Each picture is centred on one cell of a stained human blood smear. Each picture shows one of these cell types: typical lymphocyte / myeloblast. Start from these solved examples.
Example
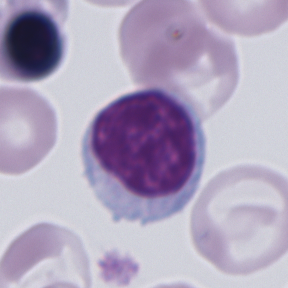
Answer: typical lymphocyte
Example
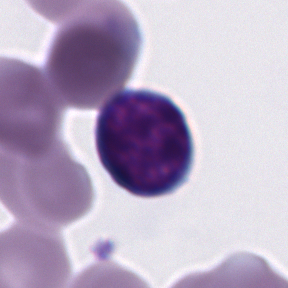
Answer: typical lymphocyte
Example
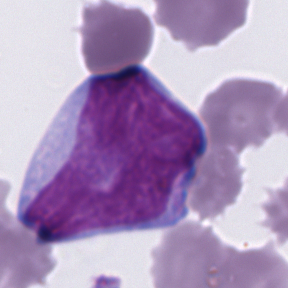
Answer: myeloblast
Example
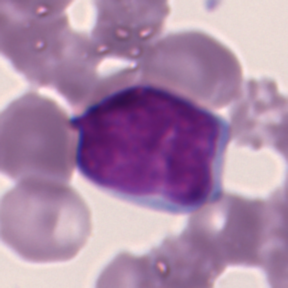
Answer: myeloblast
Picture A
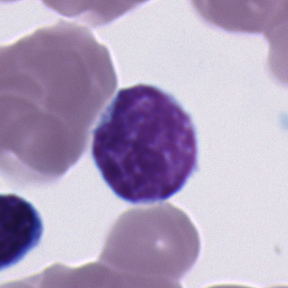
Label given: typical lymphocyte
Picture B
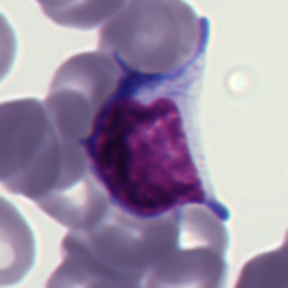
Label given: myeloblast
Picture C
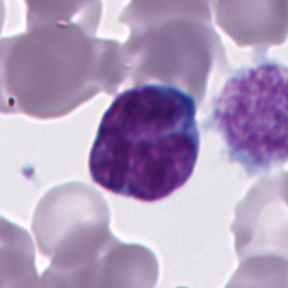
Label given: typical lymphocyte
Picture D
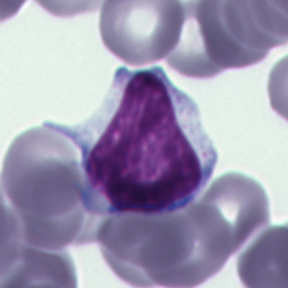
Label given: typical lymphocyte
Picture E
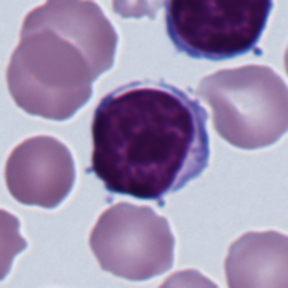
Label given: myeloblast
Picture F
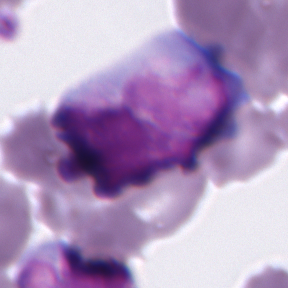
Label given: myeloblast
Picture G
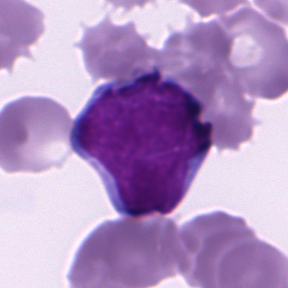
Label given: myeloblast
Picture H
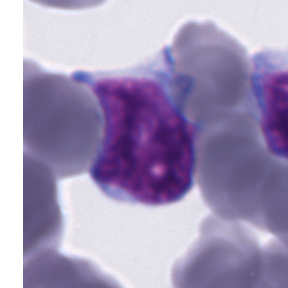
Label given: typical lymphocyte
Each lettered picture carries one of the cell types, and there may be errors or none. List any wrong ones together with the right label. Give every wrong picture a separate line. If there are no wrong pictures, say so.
B is labelled myeloblast; correct label: typical lymphocyte
E is labelled myeloblast; correct label: typical lymphocyte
